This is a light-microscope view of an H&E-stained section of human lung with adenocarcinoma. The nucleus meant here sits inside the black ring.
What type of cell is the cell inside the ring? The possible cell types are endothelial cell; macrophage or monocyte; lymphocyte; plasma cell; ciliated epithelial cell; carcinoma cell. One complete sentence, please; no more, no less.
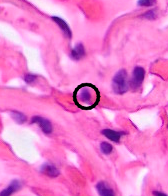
Within the stained tissue, the cell inside the ring is an endothelial cell.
